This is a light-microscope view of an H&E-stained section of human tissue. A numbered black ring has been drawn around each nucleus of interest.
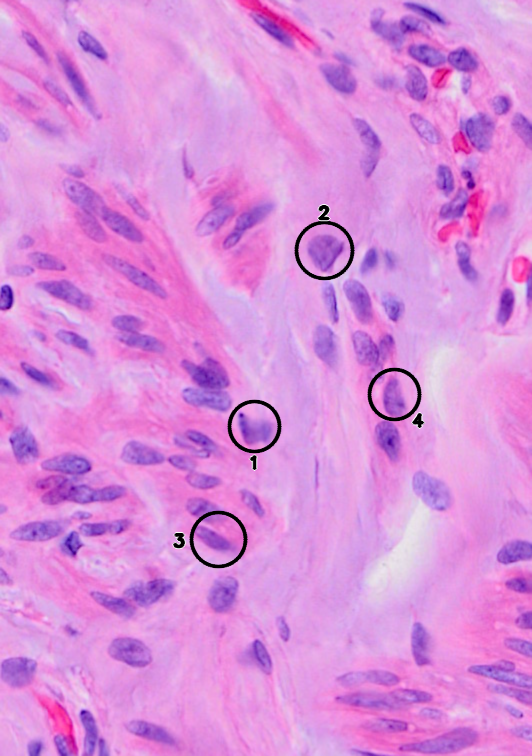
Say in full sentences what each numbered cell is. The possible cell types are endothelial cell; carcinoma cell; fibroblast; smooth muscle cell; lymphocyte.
Cell 1 is a fibroblast, cell 2 is a fibroblast, cell 3 is a smooth muscle cell and cell 4 is an endothelial cell.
